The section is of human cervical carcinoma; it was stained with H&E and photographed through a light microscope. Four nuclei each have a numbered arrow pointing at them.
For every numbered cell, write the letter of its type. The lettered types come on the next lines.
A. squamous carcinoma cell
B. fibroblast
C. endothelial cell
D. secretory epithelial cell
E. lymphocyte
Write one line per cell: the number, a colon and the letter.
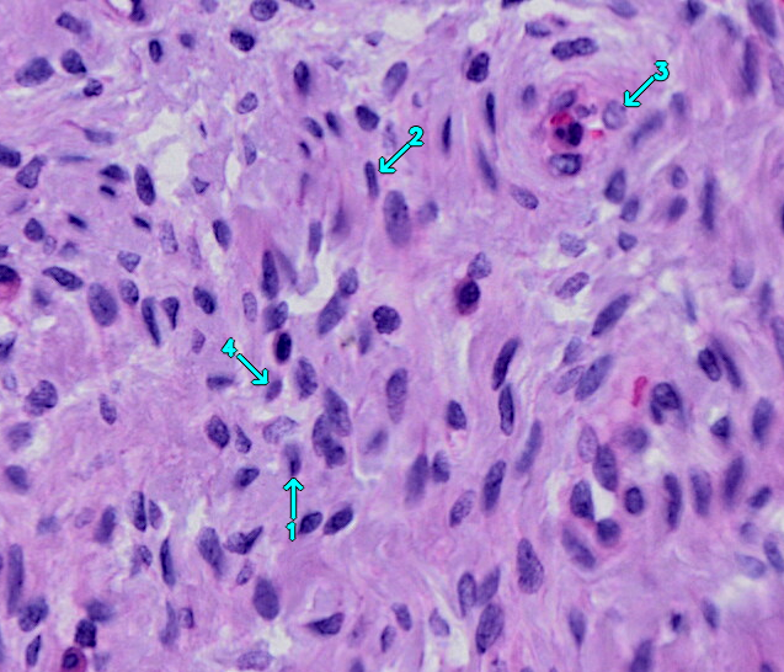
1: B
2: B
3: C
4: B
